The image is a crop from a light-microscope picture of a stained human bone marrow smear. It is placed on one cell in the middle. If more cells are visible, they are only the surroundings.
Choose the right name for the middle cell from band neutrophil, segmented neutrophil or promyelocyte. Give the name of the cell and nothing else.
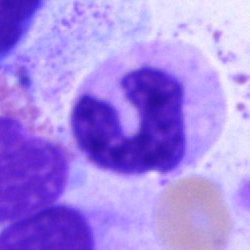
band neutrophil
